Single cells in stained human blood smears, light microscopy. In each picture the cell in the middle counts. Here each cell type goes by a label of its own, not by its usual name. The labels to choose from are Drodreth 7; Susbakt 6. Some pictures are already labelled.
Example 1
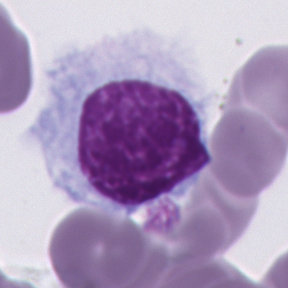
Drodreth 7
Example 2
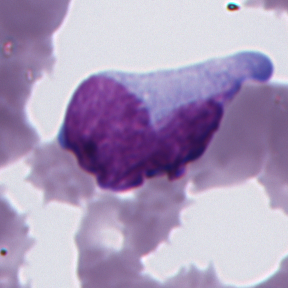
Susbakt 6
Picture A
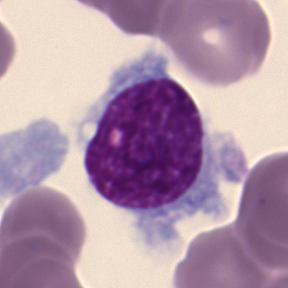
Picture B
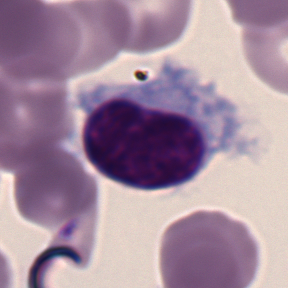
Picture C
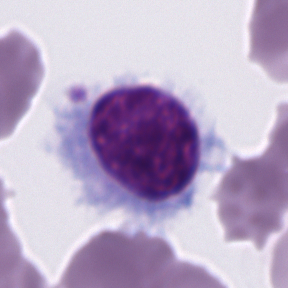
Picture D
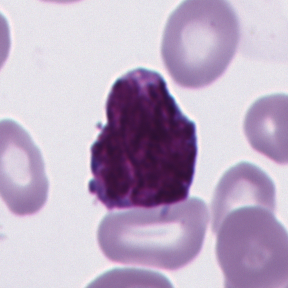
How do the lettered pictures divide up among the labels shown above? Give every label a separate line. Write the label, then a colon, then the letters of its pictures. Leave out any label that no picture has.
Drodreth 7: A, B, C
Susbakt 6: D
